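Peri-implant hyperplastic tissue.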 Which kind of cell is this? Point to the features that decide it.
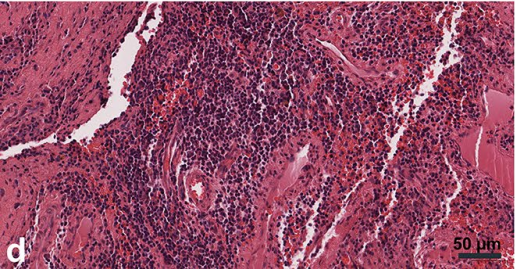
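Sheets of small round cells with dark purple nuclei fill the field. Red blood cells lie scattered among them.
Conclusion: inflammatory cells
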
